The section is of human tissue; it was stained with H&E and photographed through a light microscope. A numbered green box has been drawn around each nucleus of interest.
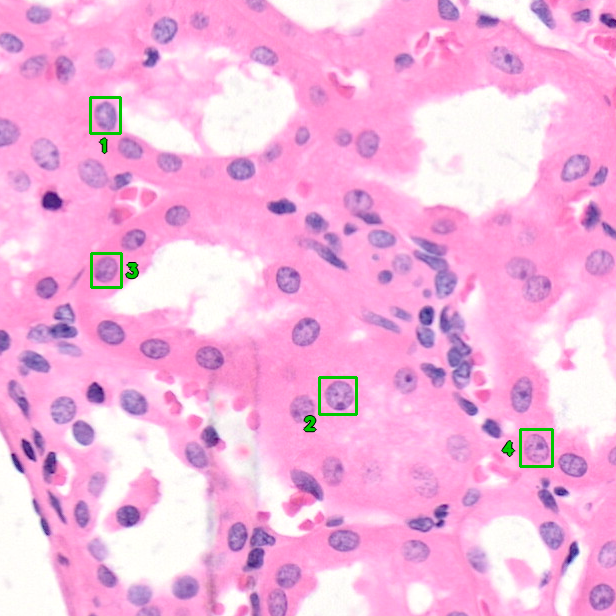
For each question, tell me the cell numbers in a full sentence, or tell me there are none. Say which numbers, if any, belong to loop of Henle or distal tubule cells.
With the exception of cell 1, no marked cell is a loop of Henle or distal tubule cell.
